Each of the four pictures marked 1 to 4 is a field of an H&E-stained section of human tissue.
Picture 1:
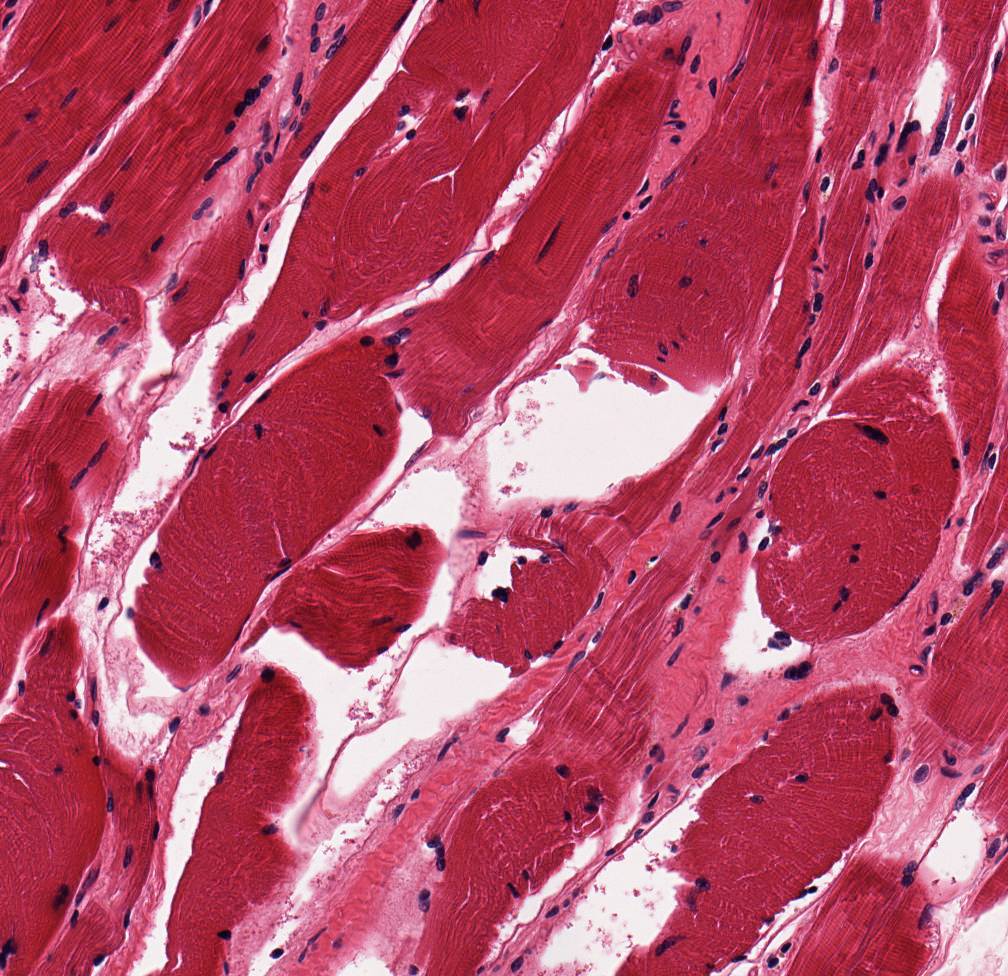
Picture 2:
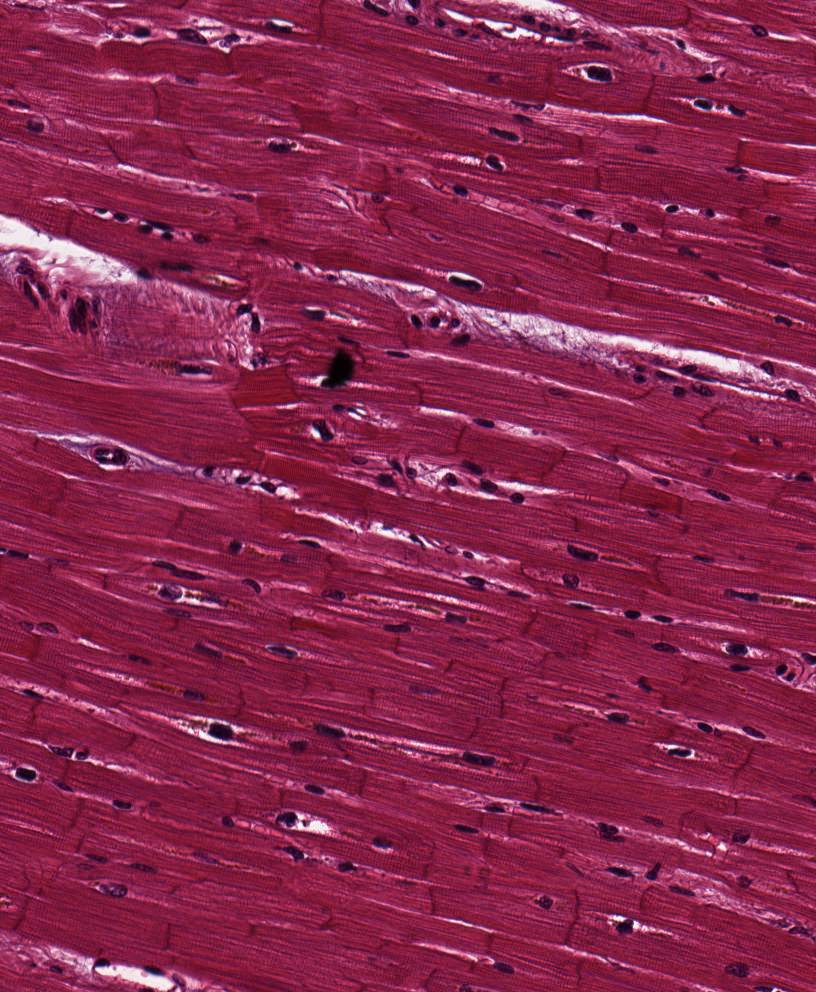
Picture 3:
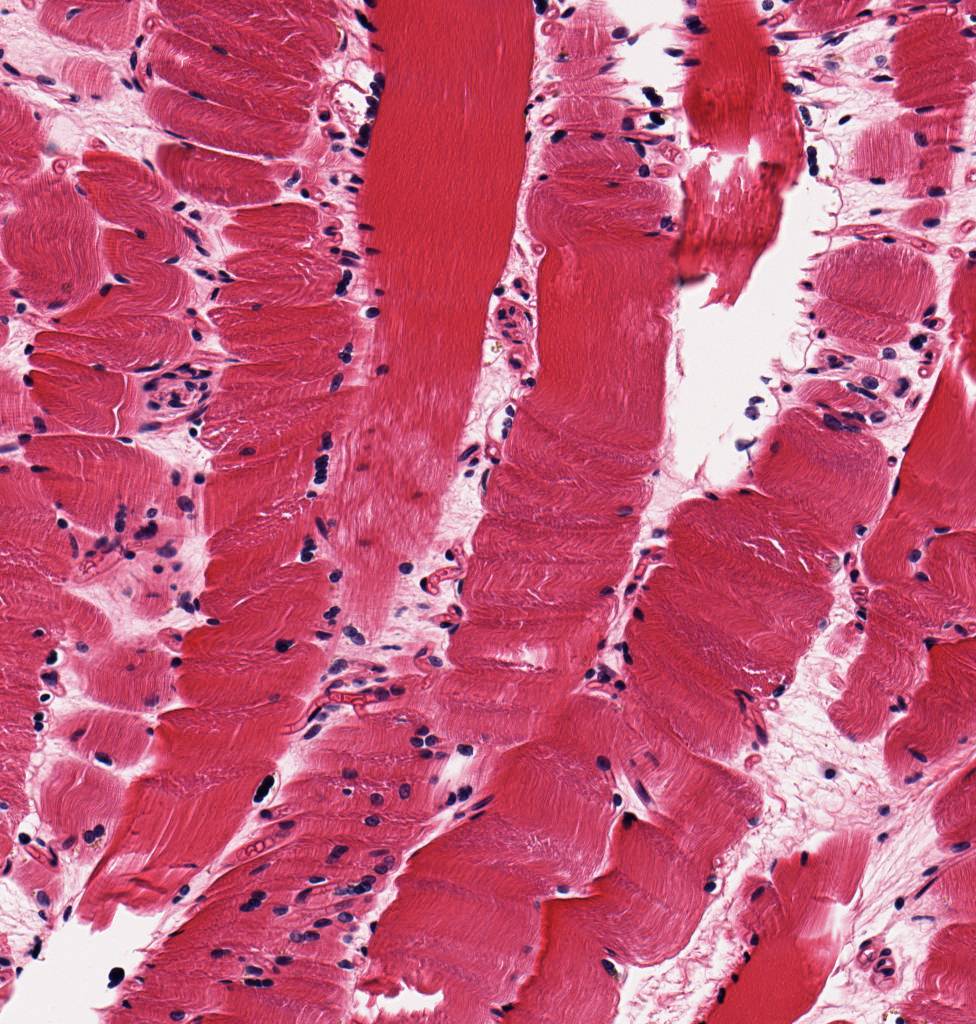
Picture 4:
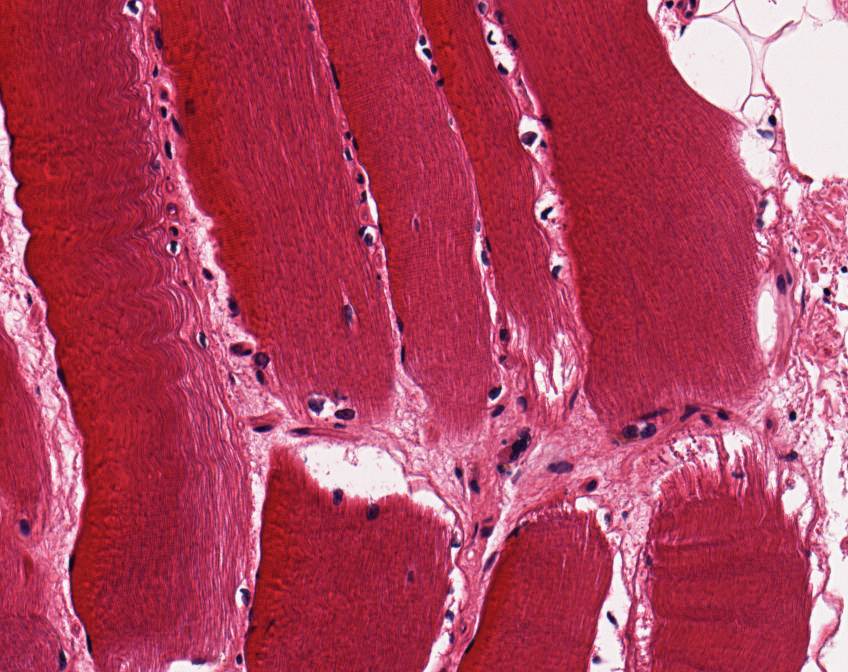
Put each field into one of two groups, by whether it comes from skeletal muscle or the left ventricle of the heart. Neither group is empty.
1: skeletal muscle
2: left ventricle of the heart
3: skeletal muscle
4: skeletal muscle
